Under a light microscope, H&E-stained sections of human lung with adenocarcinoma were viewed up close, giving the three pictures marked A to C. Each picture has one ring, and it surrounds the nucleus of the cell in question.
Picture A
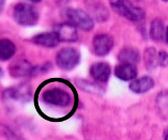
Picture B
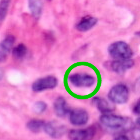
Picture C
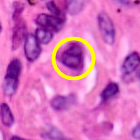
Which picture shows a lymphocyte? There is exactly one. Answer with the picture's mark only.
B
